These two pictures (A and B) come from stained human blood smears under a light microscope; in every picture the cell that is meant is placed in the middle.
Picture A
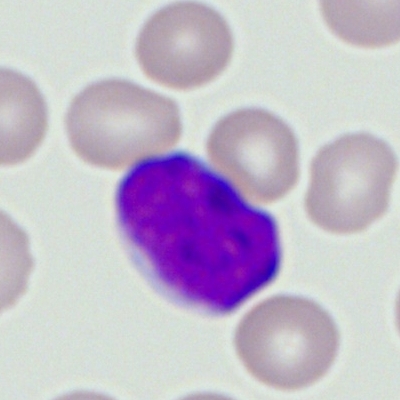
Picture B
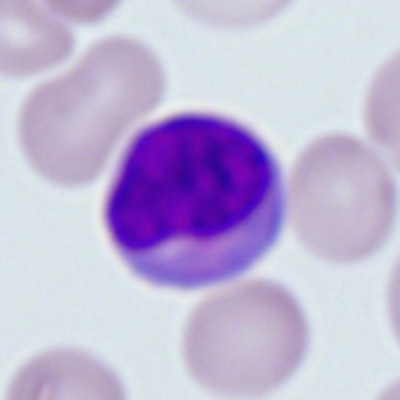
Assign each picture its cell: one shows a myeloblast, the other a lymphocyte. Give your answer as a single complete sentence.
It is picture A that shows a myeloblast, and picture B that shows a lymphocyte.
